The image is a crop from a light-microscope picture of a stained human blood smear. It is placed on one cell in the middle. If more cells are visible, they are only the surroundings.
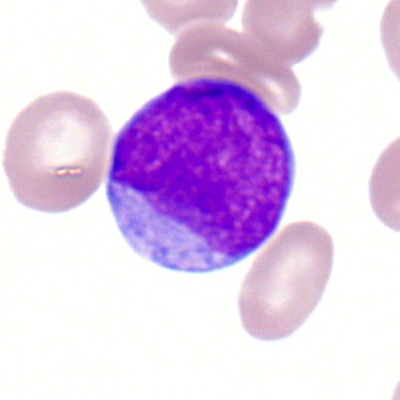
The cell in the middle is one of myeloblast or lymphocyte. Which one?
myeloblast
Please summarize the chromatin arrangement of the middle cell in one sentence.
The nuclear chromatin is fine, showing no coarse aggregates.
